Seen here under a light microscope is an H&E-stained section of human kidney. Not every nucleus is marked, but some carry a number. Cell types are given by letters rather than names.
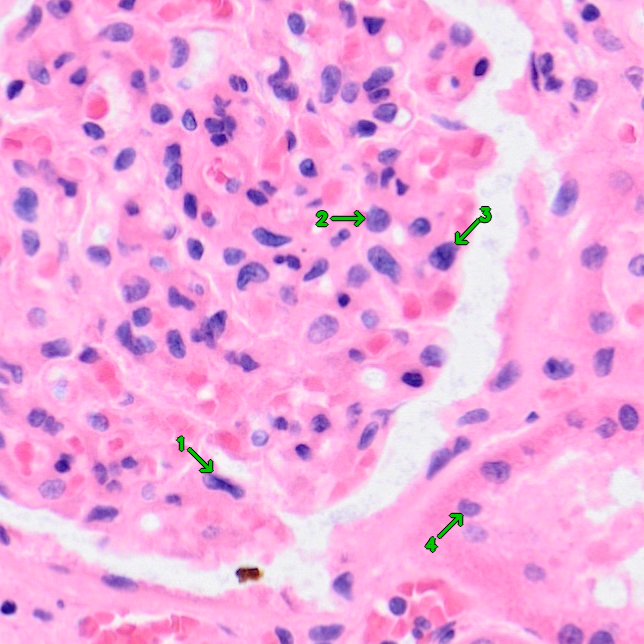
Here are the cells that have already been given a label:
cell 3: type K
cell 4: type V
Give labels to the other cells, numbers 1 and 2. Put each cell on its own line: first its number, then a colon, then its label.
1: type K
2: type K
